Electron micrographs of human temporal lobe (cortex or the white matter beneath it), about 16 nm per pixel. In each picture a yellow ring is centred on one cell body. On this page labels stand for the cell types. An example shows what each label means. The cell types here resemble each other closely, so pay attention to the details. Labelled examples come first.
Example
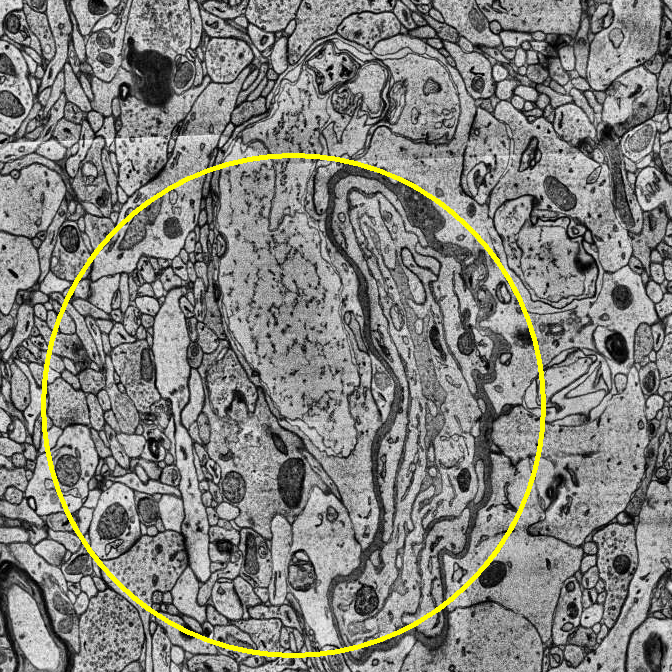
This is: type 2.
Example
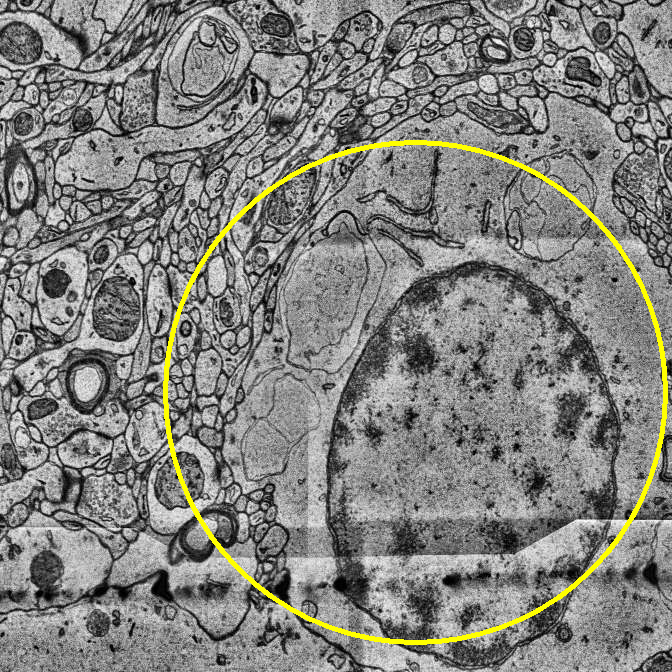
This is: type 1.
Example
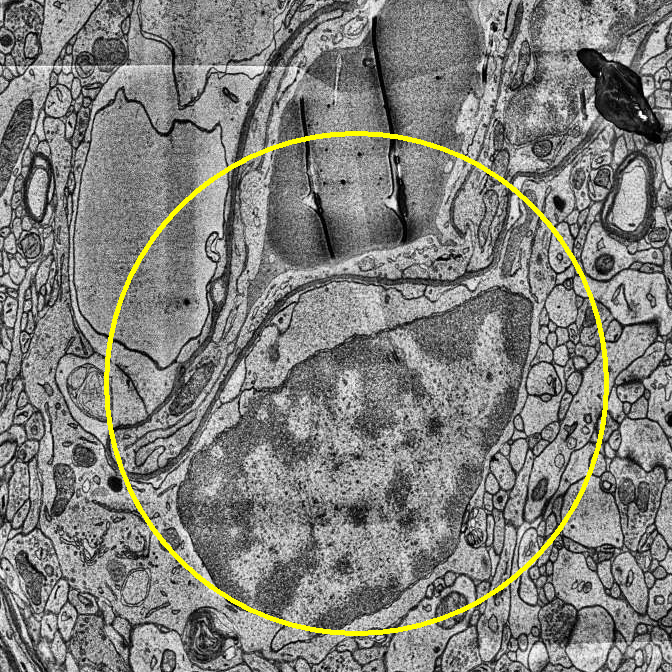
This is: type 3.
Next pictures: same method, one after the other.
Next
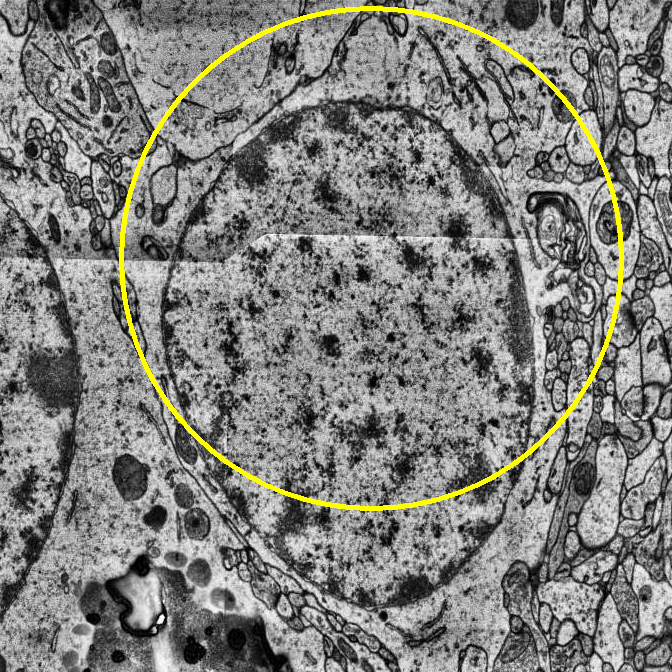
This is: type 1.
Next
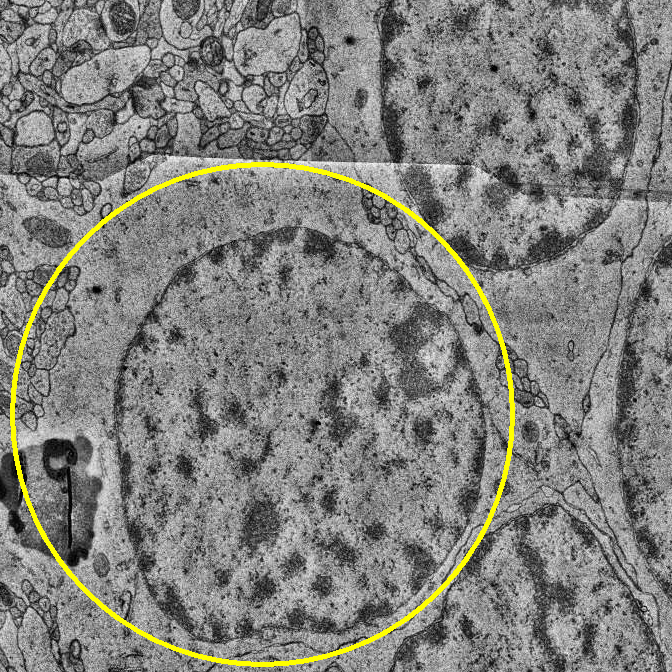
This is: type 1.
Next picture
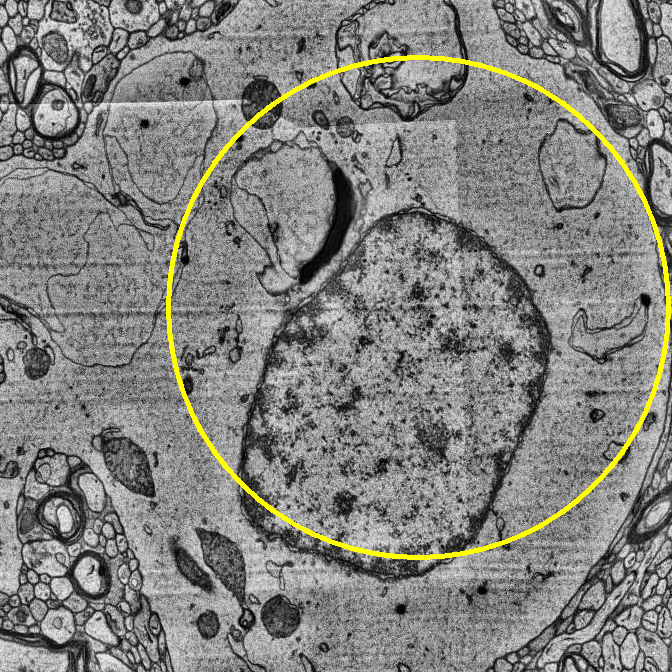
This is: type 1.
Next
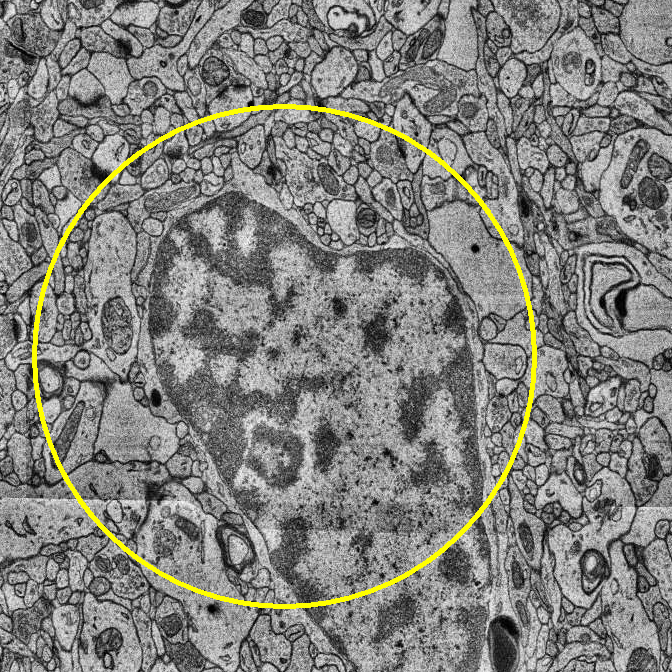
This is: type 3.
